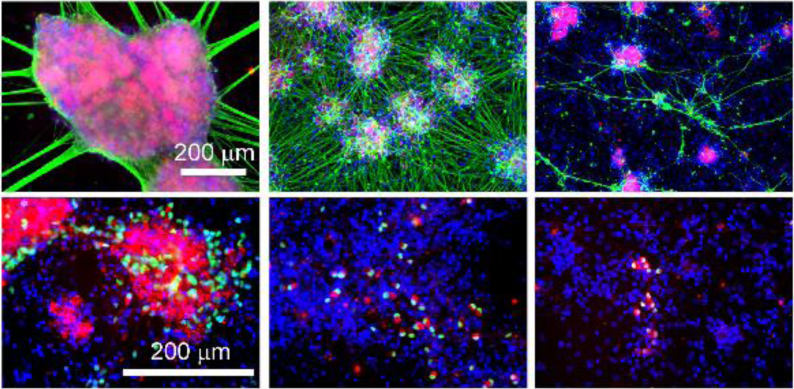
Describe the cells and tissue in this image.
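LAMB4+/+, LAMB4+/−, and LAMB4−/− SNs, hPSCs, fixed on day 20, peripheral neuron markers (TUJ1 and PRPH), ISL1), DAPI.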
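In the upper row, green neurite fibres radiate outward from the clusters and run between them, and red-stained nuclei lie within the clusters. The first culture forms one large dense aggregate, while the others form smaller, separated clusters joined by a network of fibres. In the lower row, scattered small cells carry green nuclei and red cytoplasm among many blue nuclei.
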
